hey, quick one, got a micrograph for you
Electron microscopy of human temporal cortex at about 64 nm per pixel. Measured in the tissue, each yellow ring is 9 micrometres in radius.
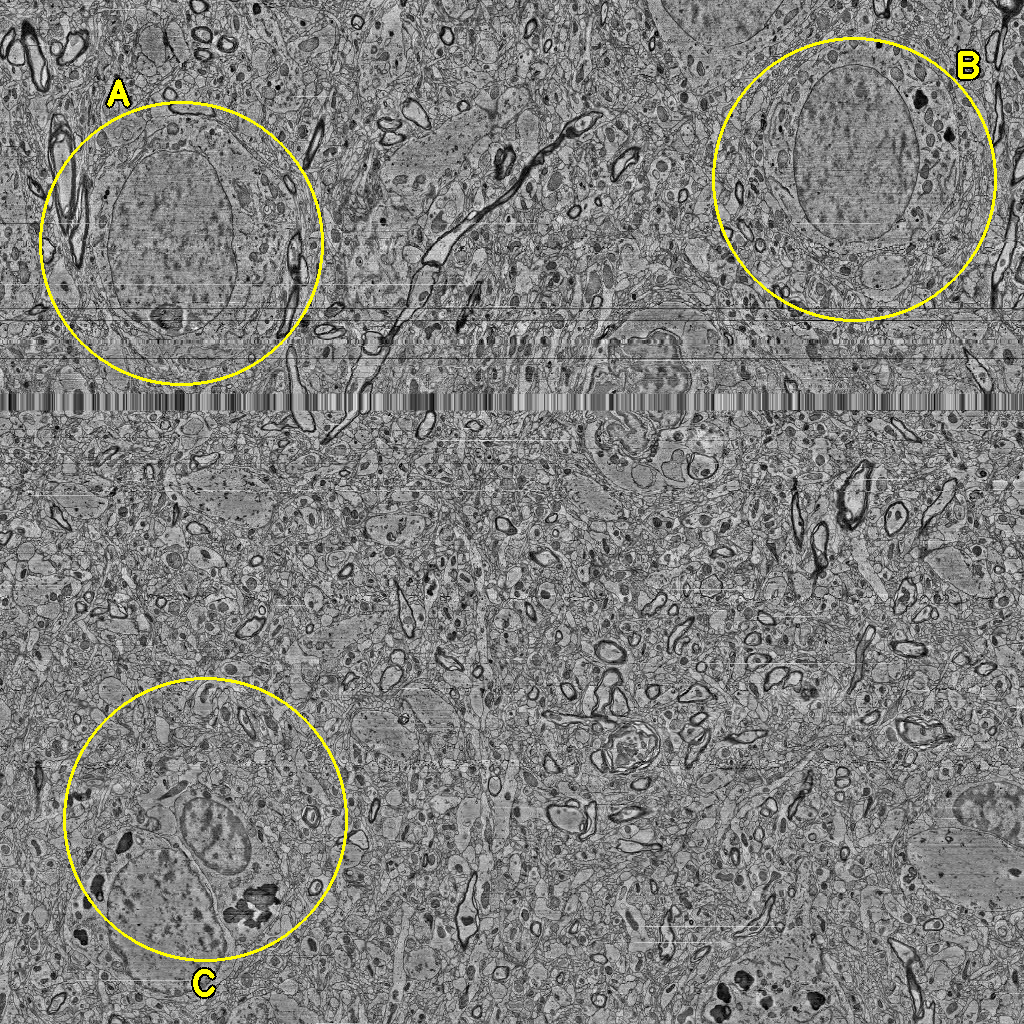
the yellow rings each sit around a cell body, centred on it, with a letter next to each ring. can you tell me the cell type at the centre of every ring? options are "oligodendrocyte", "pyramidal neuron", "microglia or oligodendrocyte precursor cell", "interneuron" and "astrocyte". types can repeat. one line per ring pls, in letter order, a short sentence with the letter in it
Ring A goes around a pyramidal neuron.
Ring B goes around an interneuron.
Ring C goes around an oligodendrocyte.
